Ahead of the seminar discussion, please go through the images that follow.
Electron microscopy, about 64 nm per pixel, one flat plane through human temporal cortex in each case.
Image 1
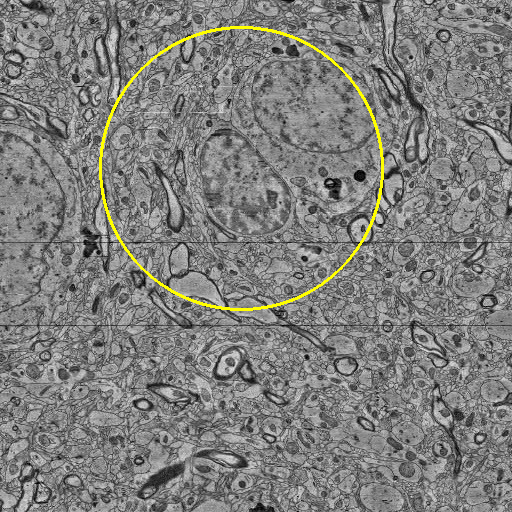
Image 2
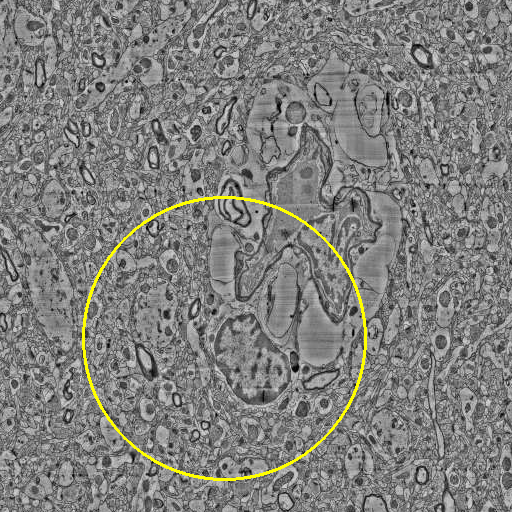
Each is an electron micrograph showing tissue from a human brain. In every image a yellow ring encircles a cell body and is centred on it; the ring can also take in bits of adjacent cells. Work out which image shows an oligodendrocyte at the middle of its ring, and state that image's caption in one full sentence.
In Image 1, the ring's centre holds the cell you are looking for.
